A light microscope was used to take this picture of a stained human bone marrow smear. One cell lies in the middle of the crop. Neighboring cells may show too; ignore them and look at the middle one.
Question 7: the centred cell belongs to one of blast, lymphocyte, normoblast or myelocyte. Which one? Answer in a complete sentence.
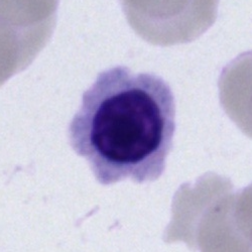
Classified as a normoblast is the cell in the middle of this crop.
